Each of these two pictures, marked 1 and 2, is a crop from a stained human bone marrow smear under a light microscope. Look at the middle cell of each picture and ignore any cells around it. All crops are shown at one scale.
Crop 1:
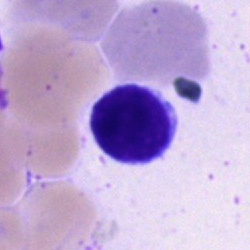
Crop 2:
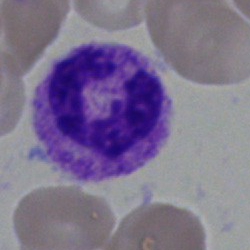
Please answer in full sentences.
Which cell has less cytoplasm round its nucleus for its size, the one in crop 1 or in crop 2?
The nucleus fills more of the cell in crop 1 than in crop 2.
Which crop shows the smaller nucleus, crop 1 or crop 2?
Crop 1 shows the smaller nucleus, since that in crop 2 covers about 1.5 times as much area.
